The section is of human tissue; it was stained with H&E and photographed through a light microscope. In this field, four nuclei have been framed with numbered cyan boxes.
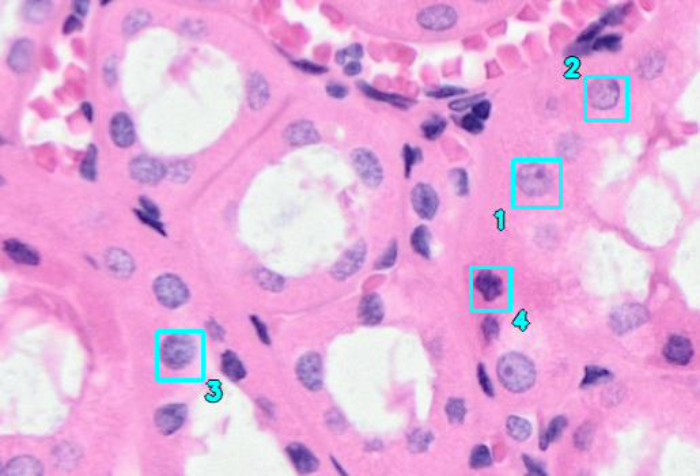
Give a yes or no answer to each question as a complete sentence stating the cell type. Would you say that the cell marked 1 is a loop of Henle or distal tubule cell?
No, rather than a loop of Henle or distal tubule cell, cell number 1 is a proximal tubule cell.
